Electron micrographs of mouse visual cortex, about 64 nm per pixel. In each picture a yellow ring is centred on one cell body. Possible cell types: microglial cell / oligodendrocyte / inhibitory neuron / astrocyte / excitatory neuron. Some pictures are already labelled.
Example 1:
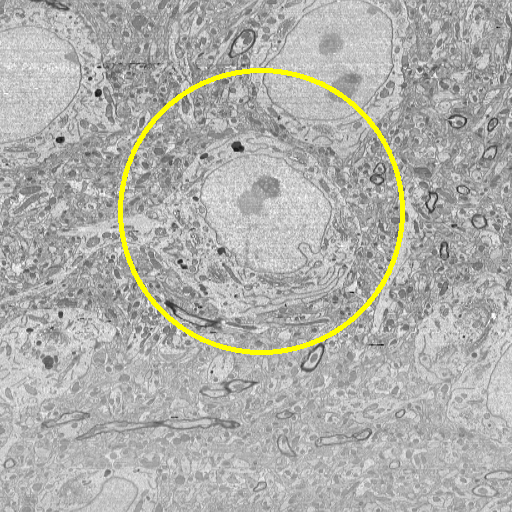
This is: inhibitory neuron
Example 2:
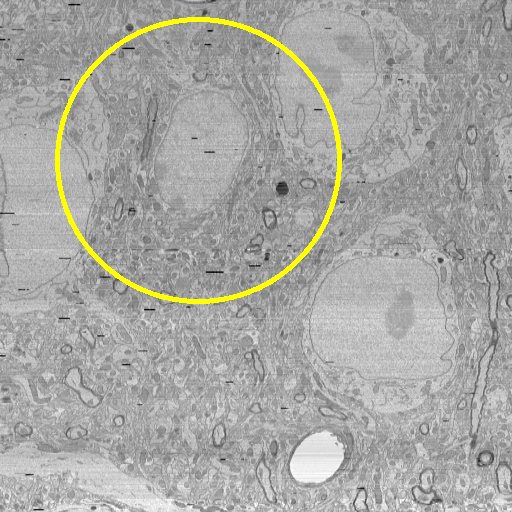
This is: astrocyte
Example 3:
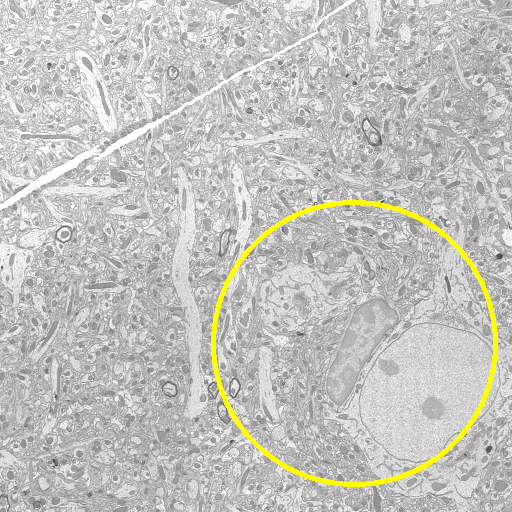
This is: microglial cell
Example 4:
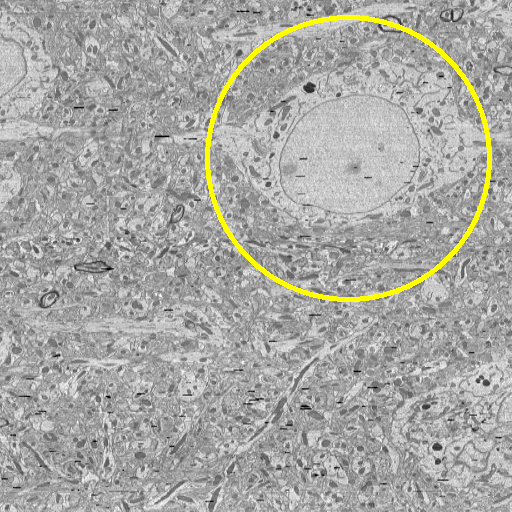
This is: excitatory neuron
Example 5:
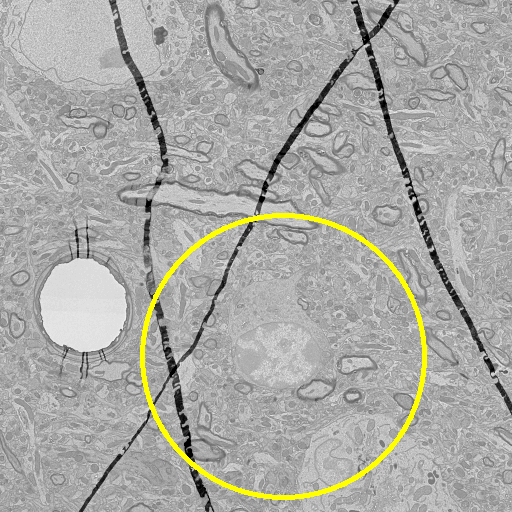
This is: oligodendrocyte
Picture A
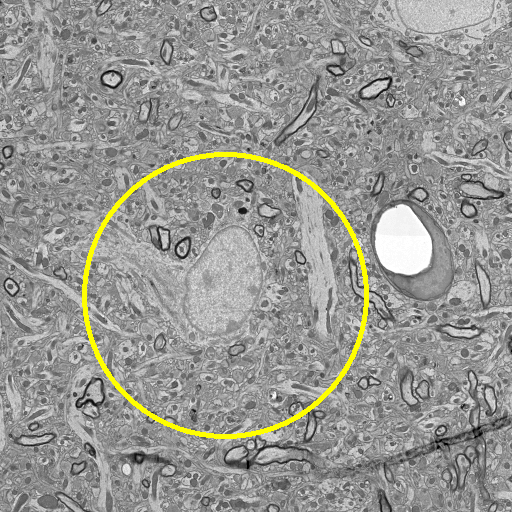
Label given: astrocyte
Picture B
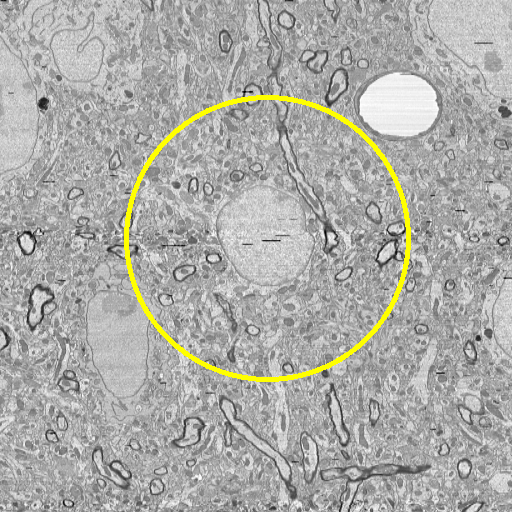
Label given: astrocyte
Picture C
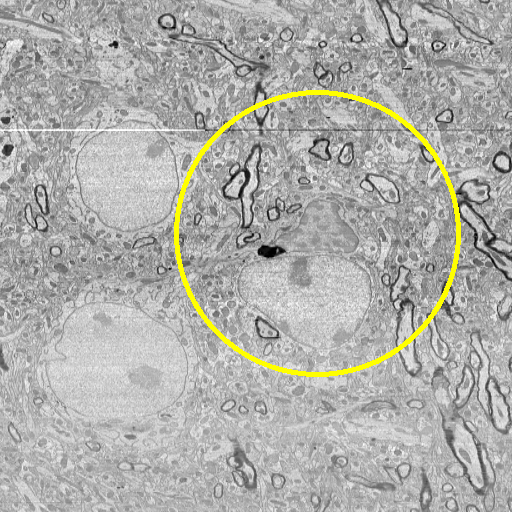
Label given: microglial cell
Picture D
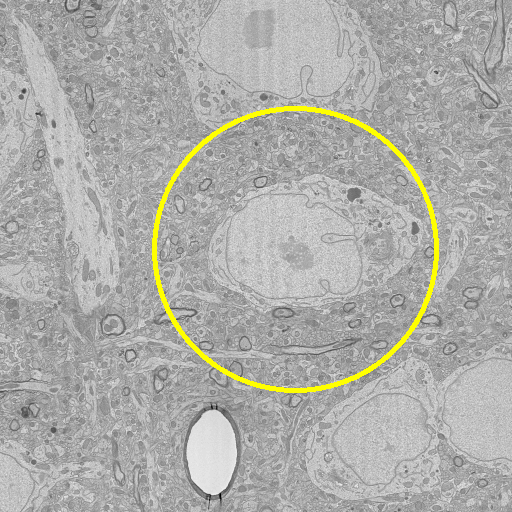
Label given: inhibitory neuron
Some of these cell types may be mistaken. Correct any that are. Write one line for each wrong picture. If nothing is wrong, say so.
No label is wrong.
